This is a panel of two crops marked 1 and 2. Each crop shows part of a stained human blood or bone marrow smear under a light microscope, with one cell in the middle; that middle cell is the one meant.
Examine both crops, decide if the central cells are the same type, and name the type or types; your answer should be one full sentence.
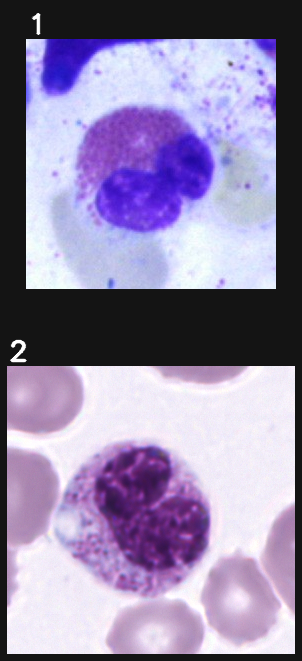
No, an eosinophil is what crop 1 shows, and a band neutrophil is what crop 2 shows.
